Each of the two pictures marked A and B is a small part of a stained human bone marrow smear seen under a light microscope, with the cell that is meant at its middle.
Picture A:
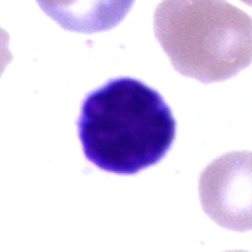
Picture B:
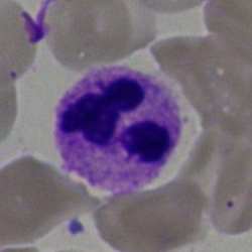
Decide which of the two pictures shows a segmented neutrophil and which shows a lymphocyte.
A: lymphocyte
B: segmented neutrophil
